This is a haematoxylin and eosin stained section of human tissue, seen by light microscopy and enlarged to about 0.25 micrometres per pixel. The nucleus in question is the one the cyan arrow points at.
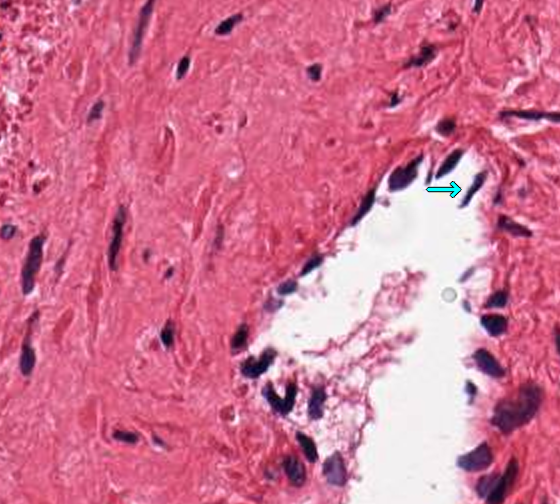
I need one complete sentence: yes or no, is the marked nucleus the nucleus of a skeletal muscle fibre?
No, it is not a skeletal muscle fibre but a supporting cell to which the marked nucleus is assigned.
